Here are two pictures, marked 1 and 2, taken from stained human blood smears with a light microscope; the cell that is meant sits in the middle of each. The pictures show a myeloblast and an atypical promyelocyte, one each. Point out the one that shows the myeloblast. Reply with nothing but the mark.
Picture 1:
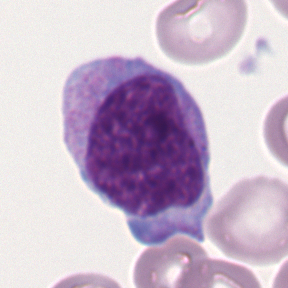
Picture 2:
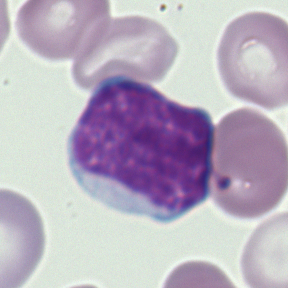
2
